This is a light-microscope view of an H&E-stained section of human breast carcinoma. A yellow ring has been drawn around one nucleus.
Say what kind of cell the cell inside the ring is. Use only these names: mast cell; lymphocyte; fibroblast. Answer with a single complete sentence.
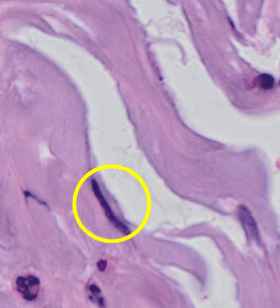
At the level of cell identity, the cell inside the ring is a fibroblast.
